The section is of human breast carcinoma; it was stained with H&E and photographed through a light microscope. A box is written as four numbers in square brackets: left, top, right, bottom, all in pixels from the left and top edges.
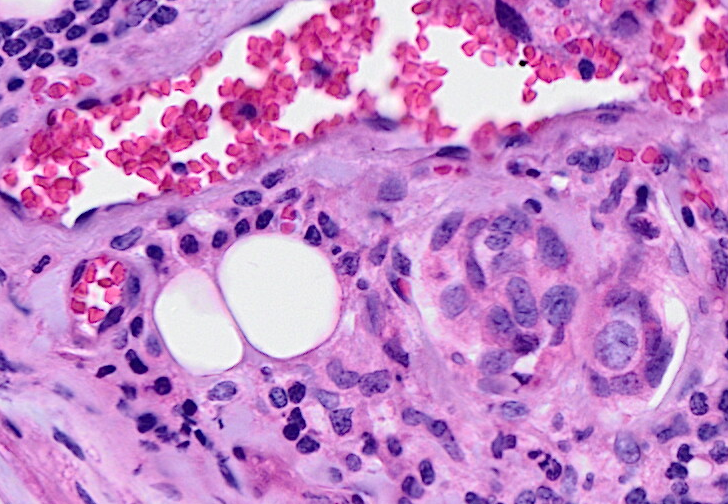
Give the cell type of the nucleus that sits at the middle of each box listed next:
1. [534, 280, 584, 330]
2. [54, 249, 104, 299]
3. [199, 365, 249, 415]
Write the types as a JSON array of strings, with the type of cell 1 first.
["carcinoma cell", "endothelial cell", "macrophage, monocyte or dendritic cell"]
